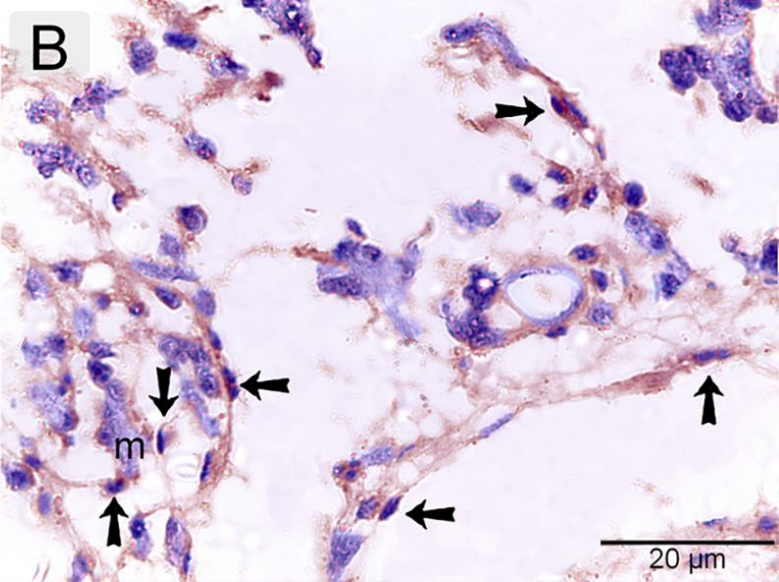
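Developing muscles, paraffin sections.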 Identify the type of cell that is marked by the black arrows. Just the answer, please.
Telocytes.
